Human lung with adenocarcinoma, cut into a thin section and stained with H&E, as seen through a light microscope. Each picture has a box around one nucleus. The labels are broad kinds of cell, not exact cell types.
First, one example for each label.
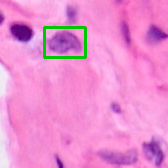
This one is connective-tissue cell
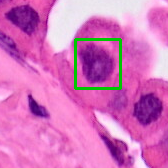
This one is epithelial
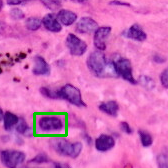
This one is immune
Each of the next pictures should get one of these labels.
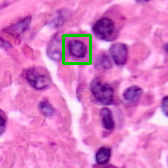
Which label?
immune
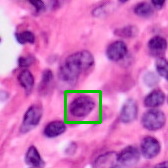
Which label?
immune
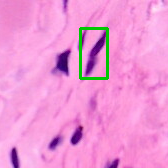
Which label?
connective-tissue cell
